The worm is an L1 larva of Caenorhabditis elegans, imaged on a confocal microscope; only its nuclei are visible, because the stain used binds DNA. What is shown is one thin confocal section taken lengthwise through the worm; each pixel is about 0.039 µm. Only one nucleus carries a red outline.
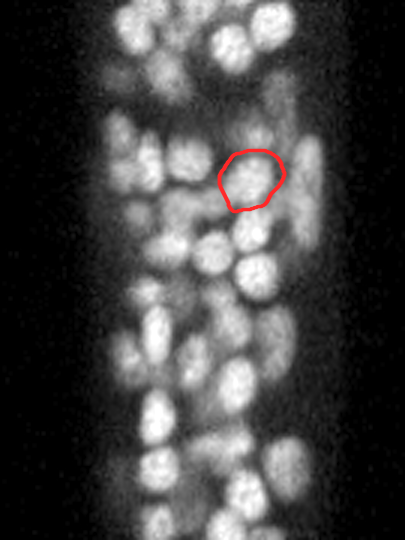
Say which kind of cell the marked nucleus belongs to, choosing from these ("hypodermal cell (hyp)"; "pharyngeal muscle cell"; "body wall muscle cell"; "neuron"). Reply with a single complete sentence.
It is the nucleus of a neuron.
